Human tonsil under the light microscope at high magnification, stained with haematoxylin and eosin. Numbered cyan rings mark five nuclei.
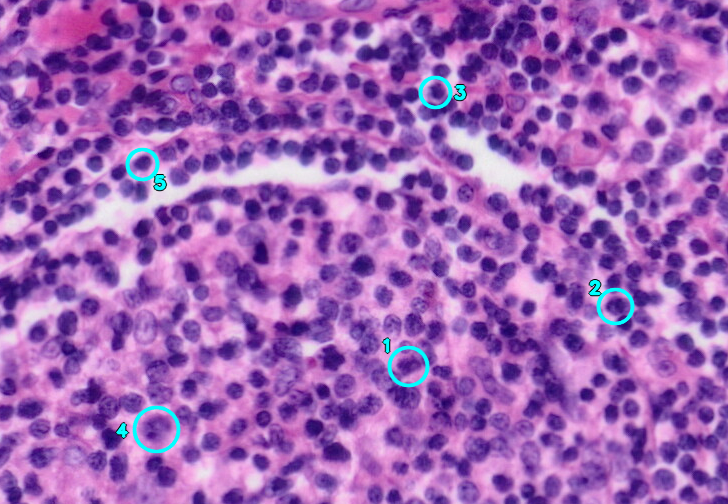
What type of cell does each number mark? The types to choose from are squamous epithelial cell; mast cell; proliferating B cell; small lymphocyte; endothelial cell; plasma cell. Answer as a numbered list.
1. proliferating B cell
2. small lymphocyte
3. small lymphocyte
4. proliferating B cell
5. small lymphocyte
